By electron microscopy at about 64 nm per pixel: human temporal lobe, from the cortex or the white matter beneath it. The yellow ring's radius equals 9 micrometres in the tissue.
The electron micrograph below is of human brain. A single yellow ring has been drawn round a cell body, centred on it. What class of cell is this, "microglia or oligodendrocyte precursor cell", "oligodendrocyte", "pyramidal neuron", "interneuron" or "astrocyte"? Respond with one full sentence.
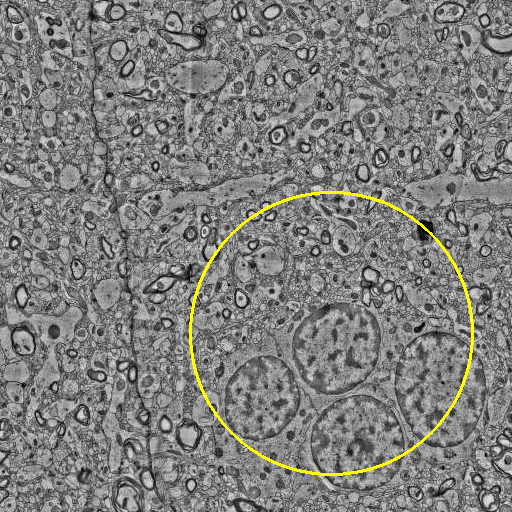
In the micrograph, the cell centred inside the yellow ring is an oligodendrocyte.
